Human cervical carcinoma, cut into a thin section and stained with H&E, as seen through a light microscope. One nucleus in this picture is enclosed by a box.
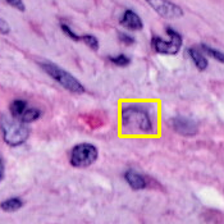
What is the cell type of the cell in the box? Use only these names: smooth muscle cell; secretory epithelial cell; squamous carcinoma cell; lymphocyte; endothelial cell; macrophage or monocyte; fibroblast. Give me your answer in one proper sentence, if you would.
As for its identity, the cell in the box is an endothelial cell.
